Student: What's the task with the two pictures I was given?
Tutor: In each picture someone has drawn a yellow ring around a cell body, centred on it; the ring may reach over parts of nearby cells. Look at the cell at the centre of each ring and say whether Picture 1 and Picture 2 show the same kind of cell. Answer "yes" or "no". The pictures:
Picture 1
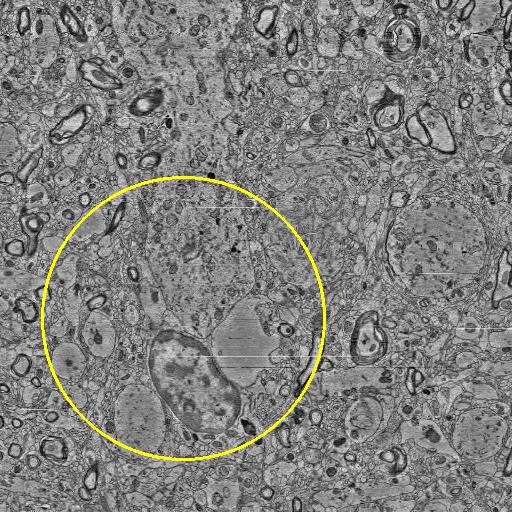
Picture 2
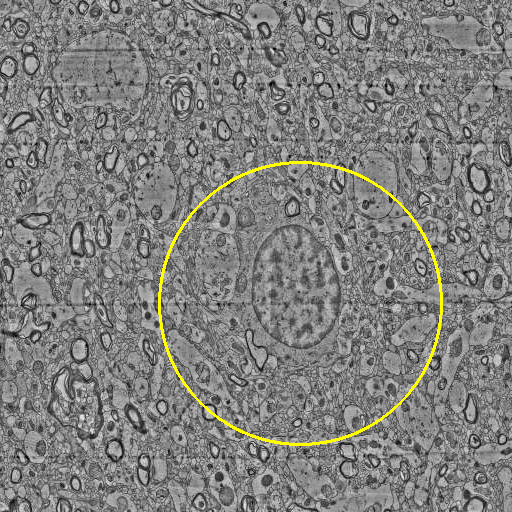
no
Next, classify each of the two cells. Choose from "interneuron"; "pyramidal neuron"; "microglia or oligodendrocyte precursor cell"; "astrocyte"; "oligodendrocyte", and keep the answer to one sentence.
In the first picture it is a microglial cell or oligodendrocyte precursor cell; in the second it is an oligodendrocyte.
